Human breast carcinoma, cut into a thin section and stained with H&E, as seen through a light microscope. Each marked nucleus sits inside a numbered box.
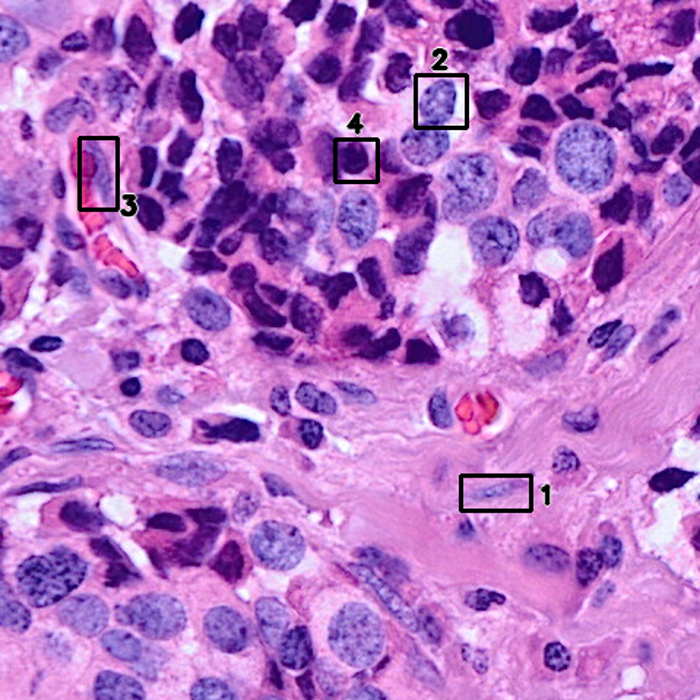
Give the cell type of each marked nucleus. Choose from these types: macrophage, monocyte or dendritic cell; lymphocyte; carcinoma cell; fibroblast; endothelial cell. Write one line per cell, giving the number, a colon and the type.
1: fibroblast
2: carcinoma cell
3: endothelial cell
4: carcinoma cell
